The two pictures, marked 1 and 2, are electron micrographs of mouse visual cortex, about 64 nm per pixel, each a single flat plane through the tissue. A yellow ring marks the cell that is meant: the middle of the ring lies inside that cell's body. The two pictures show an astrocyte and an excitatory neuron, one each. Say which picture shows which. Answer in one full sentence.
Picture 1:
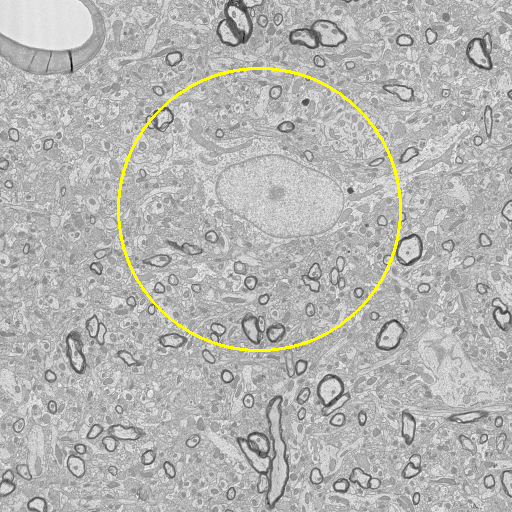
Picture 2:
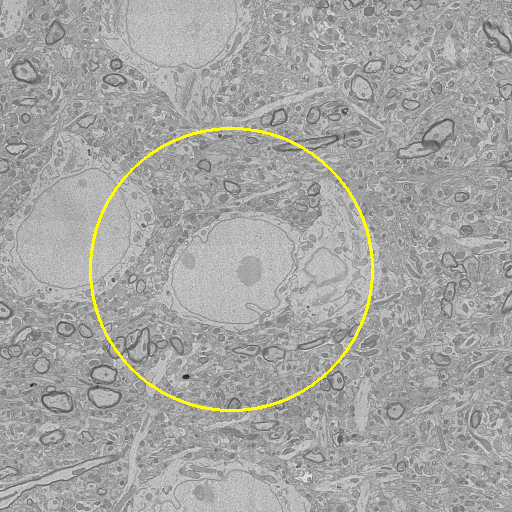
It is picture 1 that shows an astrocyte, and picture 2 that shows an excitatory neuron.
